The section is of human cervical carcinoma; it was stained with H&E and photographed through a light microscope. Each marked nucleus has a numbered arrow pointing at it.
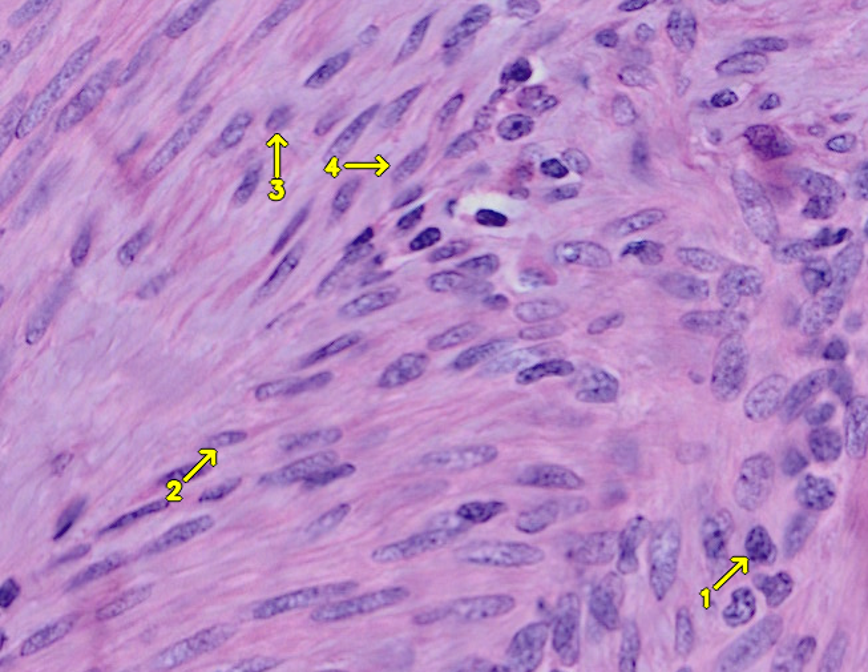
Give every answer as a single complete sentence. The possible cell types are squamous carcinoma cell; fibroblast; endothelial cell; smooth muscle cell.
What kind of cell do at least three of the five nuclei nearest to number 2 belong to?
Most of the five nuclei nearest to number 2 are those of smooth muscle cells.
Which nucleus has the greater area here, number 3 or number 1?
The larger nucleus is 1, at roughly 1.5 times the area of 3.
